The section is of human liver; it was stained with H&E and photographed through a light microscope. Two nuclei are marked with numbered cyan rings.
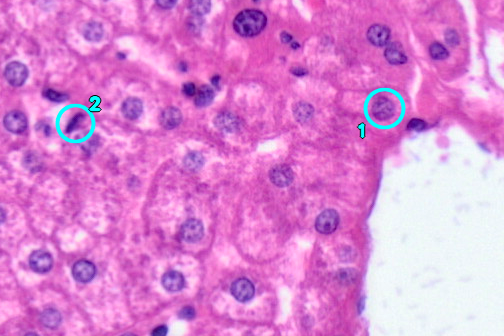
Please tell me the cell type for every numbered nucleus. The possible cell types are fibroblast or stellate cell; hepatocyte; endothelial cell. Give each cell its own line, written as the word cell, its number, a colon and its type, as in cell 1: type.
cell 1: hepatocyte
cell 2: fibroblast or stellate cell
